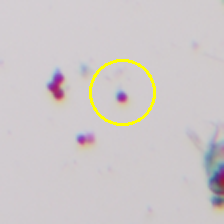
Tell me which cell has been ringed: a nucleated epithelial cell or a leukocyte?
It is a leukocyte.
